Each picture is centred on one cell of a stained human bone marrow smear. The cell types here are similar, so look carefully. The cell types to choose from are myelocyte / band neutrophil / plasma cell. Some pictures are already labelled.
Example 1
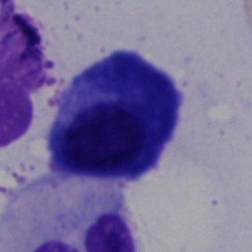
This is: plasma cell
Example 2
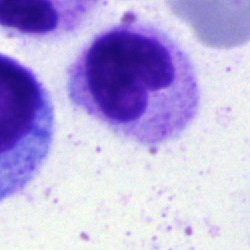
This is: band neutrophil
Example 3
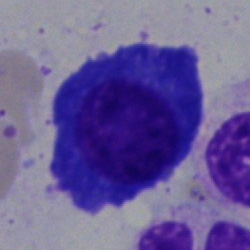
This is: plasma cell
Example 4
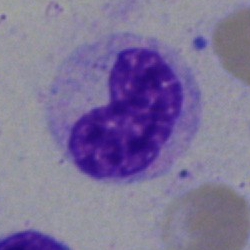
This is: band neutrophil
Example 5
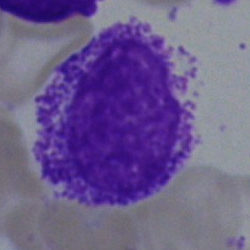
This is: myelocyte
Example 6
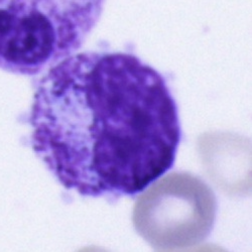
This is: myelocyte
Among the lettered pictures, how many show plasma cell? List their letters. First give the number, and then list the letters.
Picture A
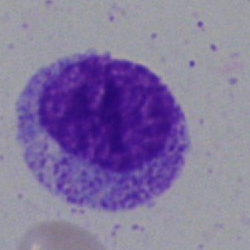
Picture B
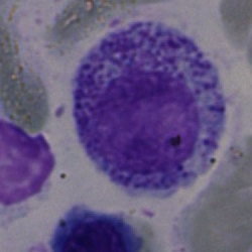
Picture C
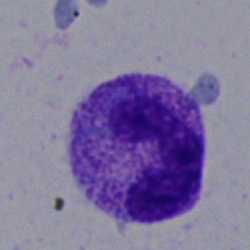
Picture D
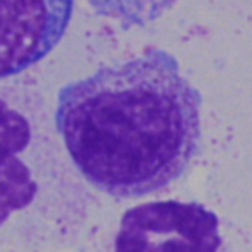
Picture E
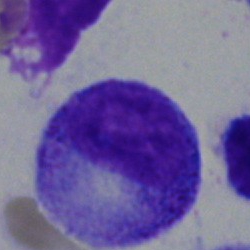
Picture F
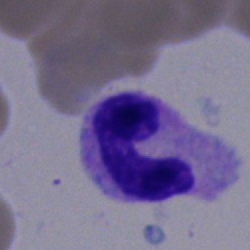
0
